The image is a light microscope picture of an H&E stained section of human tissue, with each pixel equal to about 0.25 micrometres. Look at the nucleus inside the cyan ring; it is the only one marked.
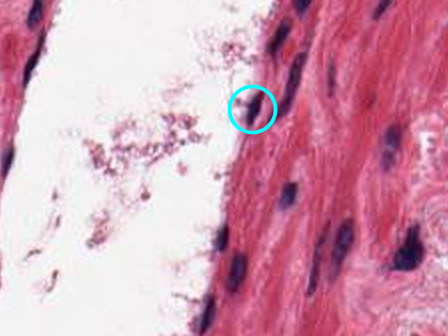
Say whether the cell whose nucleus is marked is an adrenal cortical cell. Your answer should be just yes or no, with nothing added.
no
